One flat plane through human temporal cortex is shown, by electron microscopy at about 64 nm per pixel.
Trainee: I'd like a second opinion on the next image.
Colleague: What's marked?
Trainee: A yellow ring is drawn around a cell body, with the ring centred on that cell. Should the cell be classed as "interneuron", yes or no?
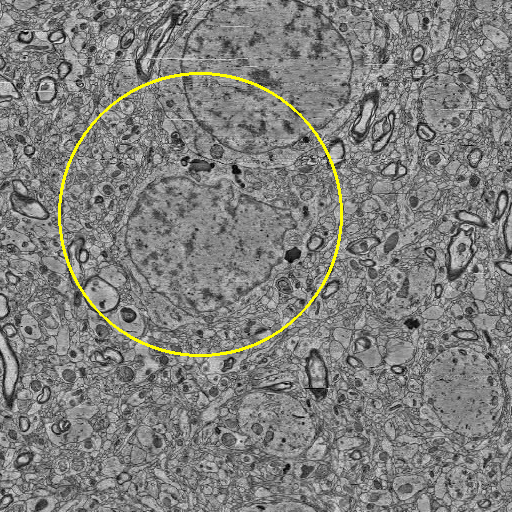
Yes, it should.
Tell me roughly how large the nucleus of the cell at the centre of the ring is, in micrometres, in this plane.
Approximately 11 micrometres long and 9 micrometres wide, in this plane.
